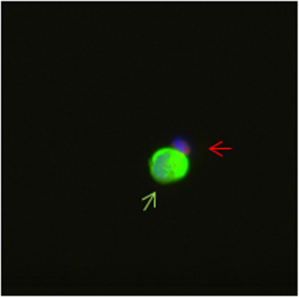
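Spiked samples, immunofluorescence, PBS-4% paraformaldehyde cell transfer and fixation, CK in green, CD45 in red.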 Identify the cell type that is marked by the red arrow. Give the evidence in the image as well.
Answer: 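The marked cell is small, much smaller than the large green cell beside it. It has a round nucleus filling most of the cell with a thin reddish rim. On this evidence: lymphocytes.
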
